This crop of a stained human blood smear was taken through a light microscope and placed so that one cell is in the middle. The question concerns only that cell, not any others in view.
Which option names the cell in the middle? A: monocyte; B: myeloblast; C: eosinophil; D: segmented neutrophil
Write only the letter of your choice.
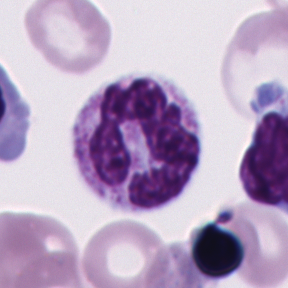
D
